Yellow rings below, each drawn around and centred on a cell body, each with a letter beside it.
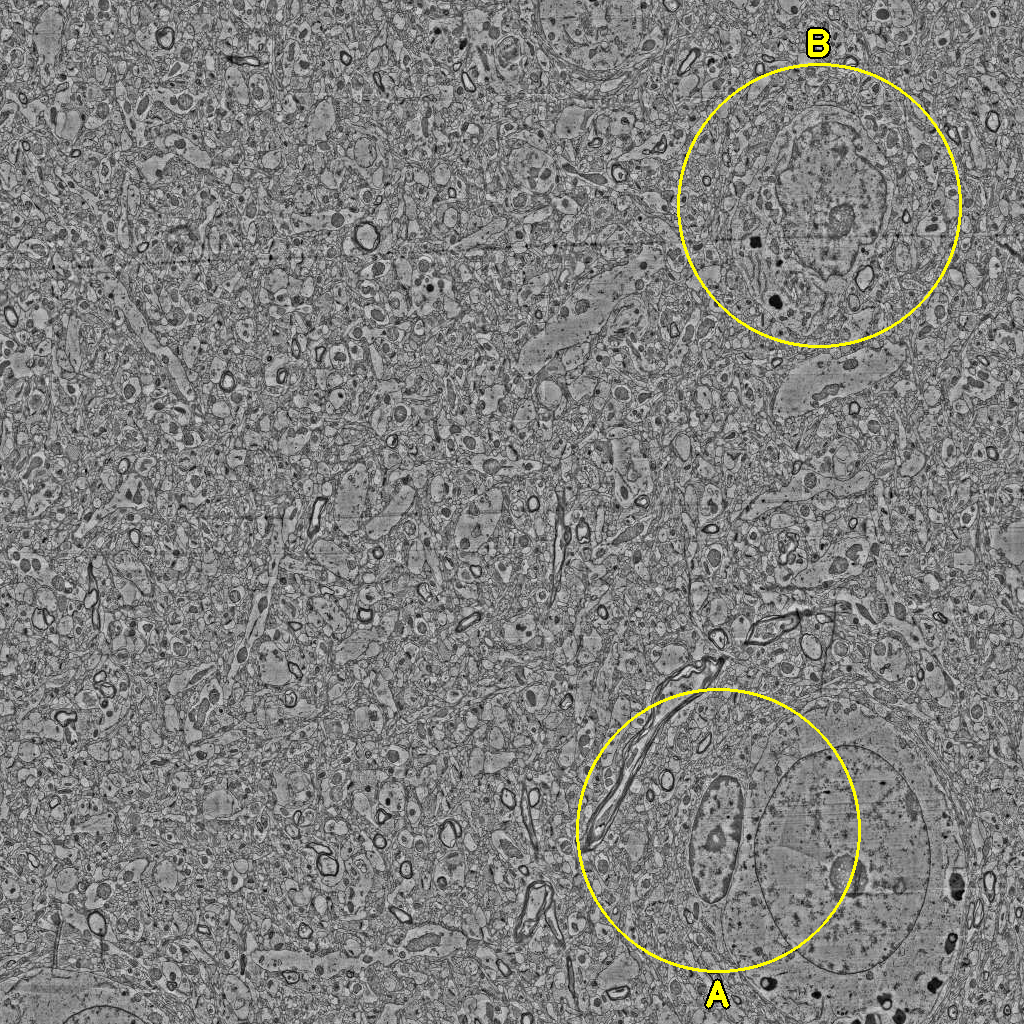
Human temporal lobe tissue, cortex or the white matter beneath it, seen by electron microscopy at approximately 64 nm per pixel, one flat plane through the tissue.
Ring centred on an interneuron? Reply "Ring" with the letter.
Ring B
